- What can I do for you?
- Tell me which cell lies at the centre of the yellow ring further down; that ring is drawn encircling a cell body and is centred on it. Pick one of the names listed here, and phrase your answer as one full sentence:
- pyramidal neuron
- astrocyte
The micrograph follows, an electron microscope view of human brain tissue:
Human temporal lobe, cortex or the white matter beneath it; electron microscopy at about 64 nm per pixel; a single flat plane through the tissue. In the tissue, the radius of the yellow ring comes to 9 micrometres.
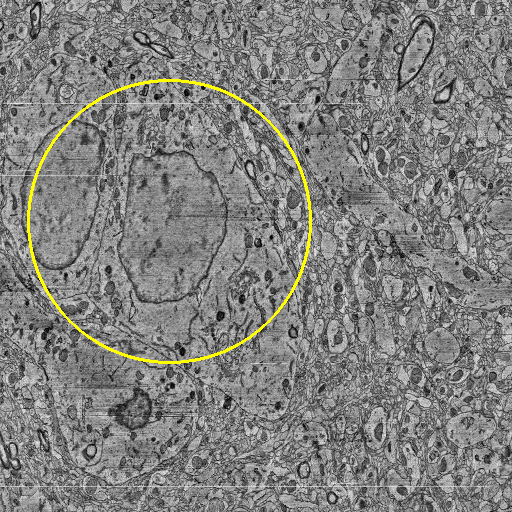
The cell whose body lies at the centre of the yellow ring is a pyramidal neuron.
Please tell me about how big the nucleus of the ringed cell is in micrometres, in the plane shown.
The ringed cell's nucleus is about 10 micrometres long and 7 micrometres wide in this plane.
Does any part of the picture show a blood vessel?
No, there is no blood vessel in the image.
